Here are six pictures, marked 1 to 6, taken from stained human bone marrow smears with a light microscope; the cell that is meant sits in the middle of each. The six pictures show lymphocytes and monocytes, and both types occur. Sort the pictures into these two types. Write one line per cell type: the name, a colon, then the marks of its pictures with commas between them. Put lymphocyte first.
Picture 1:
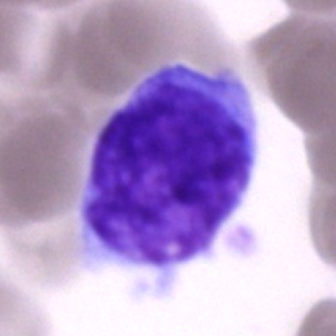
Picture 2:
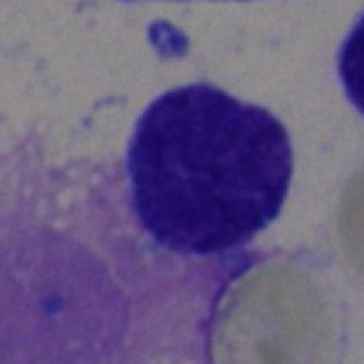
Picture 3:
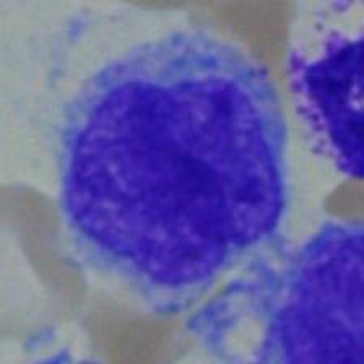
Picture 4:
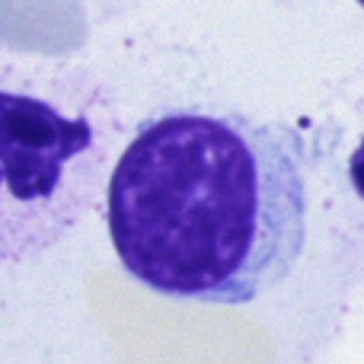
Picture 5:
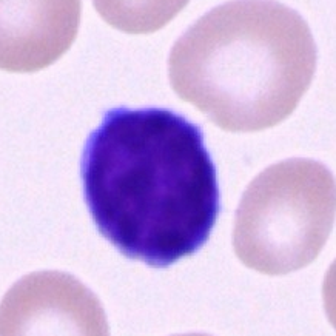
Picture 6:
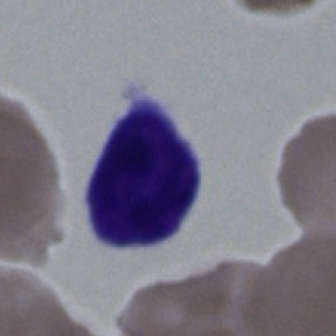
lymphocyte: 2, 4, 5, 6
monocyte: 1, 3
